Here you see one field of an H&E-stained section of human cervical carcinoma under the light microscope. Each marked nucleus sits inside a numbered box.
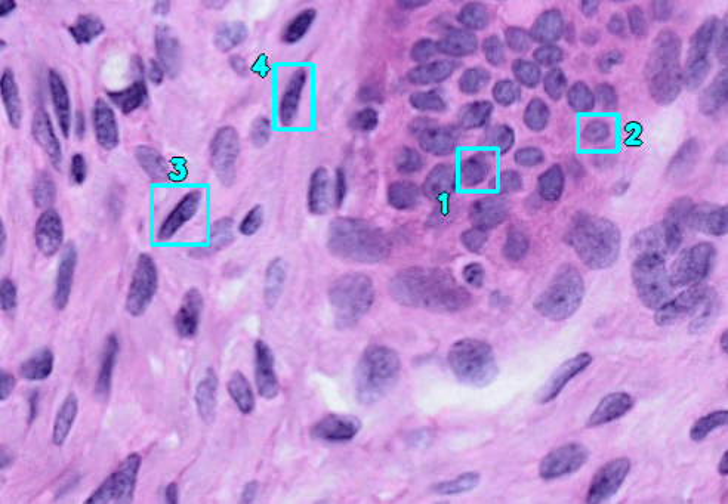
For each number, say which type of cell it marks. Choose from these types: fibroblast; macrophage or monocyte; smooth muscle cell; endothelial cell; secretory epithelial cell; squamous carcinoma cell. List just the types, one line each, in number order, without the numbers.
secretory epithelial cell
secretory epithelial cell
fibroblast
fibroblast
